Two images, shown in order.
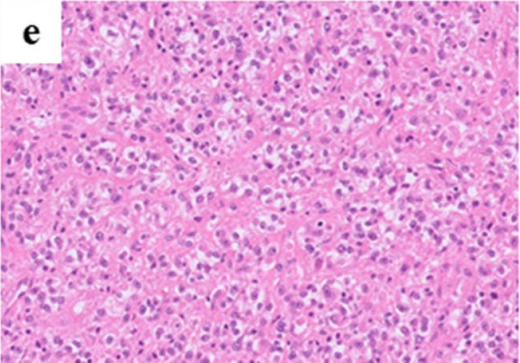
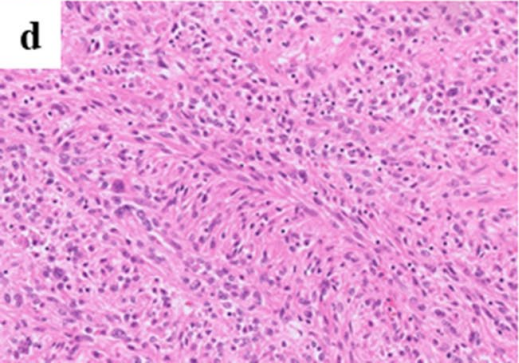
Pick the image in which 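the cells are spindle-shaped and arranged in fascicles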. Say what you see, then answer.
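The second image. First image: cells are rounded with pale cytoplasm, in sheets. Second image: cells have elongated nuclei and run in parallel bundles.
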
